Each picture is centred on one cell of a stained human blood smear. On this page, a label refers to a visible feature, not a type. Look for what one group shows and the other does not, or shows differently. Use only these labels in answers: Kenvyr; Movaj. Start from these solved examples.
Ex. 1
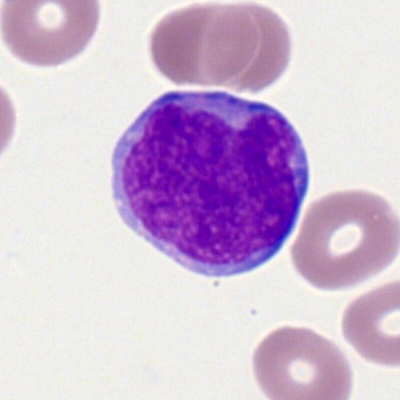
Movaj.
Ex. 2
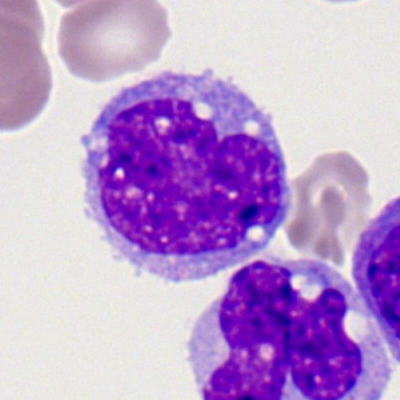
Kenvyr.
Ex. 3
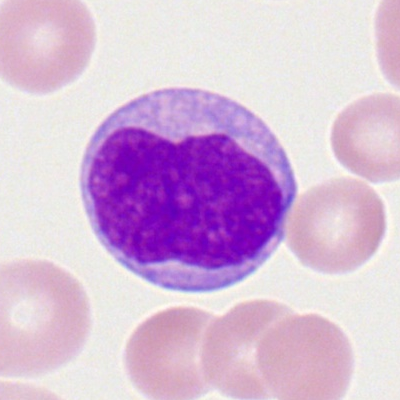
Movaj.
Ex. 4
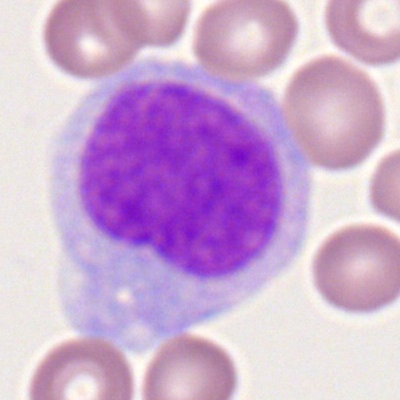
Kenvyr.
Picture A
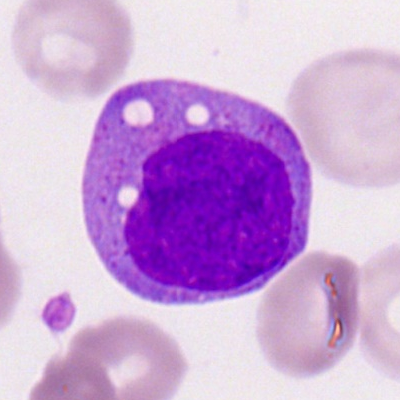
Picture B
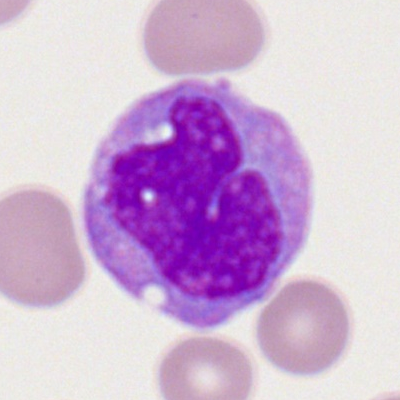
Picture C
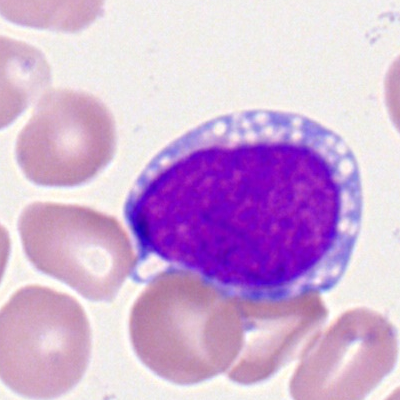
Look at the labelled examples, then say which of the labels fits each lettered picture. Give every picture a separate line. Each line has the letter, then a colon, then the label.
A: Kenvyr.
B: Kenvyr.
C: Kenvyr.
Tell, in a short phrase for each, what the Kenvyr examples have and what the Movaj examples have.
In Kenvyr: vacuoles present. In Movaj: no vacuoles.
